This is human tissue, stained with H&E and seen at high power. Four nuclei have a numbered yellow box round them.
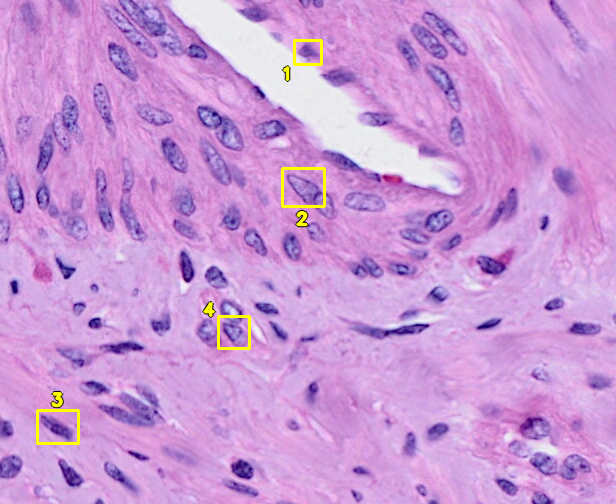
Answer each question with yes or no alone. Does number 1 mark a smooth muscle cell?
no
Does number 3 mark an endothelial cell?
no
